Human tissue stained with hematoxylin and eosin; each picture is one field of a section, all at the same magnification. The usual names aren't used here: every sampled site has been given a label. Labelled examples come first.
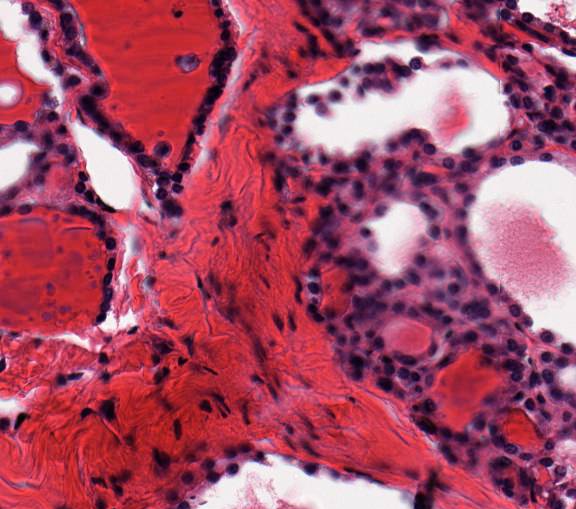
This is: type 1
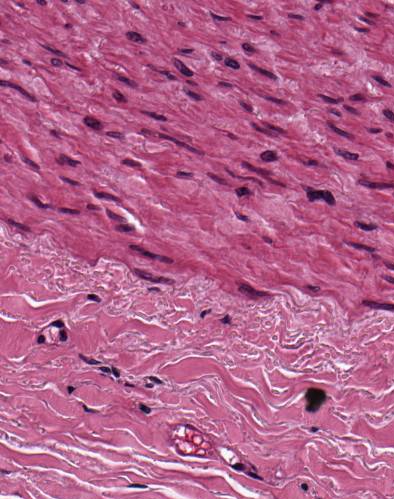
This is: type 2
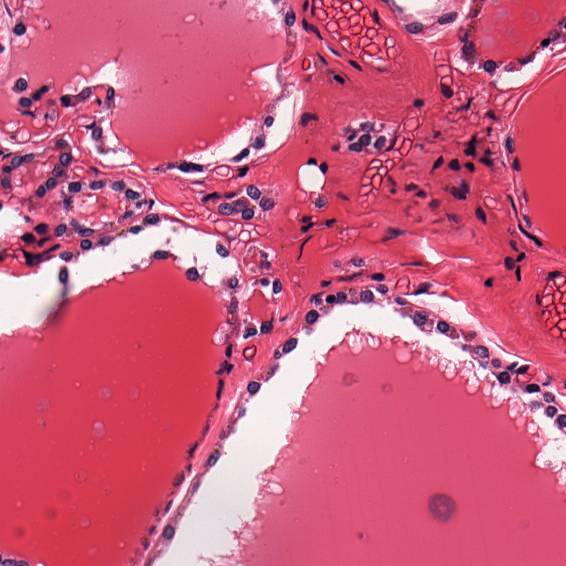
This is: type 1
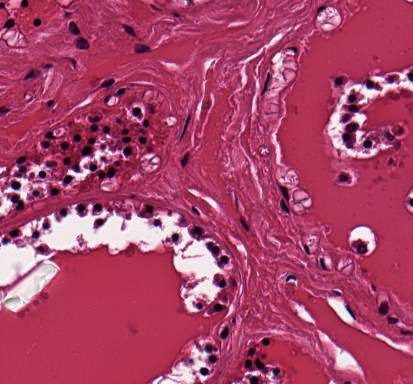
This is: type 1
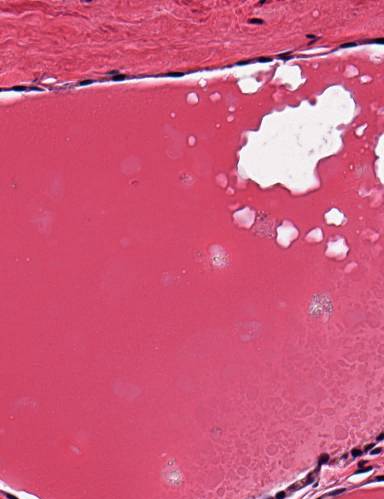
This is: type 1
